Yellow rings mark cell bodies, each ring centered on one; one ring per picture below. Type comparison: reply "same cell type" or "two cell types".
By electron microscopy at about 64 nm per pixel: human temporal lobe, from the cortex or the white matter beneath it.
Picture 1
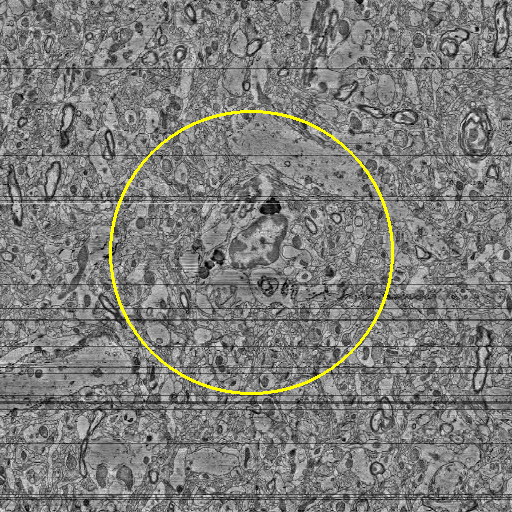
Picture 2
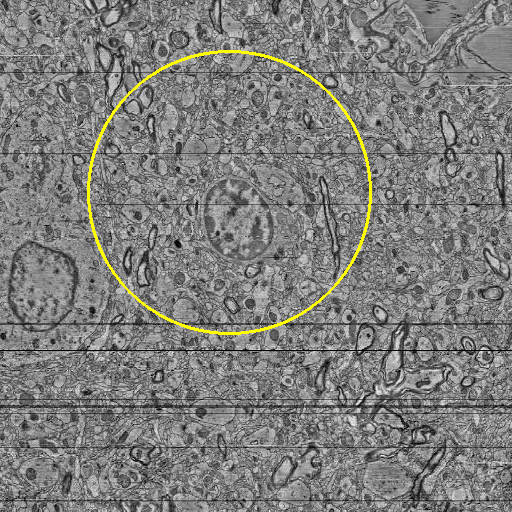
two cell types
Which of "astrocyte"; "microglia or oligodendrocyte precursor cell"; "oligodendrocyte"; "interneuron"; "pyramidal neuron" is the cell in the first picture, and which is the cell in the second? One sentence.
The two differ: the first cell is a microglial cell or oligodendrocyte precursor cell and the second is an oligodendrocyte.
